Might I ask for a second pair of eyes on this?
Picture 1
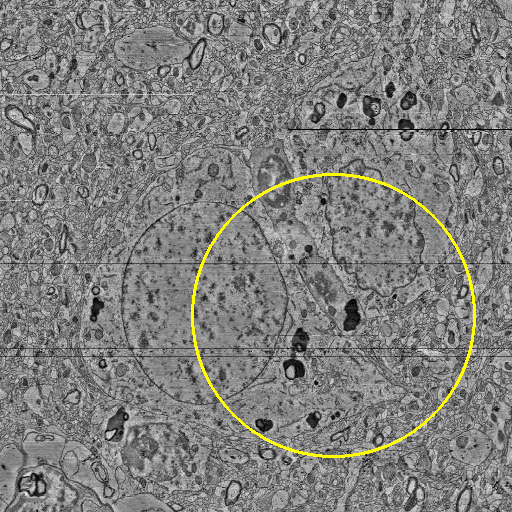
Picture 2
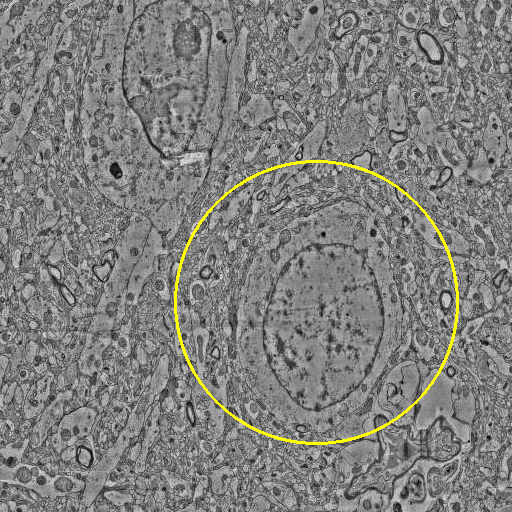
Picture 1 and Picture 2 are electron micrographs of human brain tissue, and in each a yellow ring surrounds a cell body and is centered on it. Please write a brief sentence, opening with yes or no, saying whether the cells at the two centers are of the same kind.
No, the cells are of two kinds.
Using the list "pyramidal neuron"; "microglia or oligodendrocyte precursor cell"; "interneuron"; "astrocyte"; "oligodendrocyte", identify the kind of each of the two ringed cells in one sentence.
The first is an oligodendrocyte and the second is a pyramidal neuron.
